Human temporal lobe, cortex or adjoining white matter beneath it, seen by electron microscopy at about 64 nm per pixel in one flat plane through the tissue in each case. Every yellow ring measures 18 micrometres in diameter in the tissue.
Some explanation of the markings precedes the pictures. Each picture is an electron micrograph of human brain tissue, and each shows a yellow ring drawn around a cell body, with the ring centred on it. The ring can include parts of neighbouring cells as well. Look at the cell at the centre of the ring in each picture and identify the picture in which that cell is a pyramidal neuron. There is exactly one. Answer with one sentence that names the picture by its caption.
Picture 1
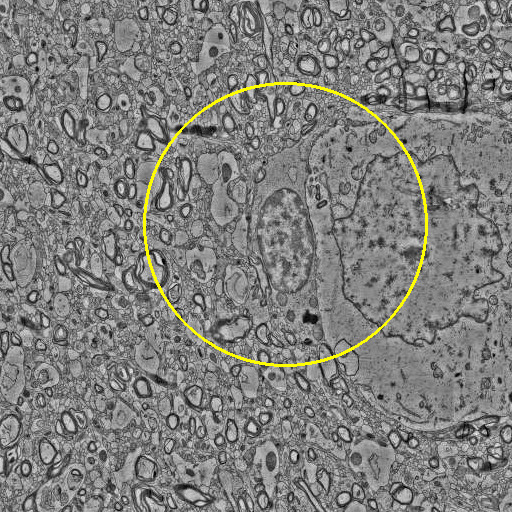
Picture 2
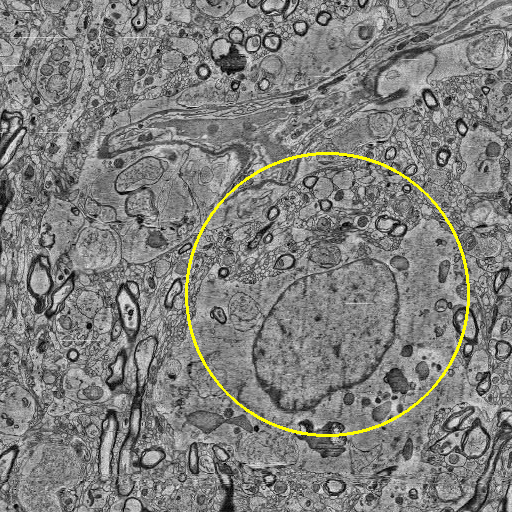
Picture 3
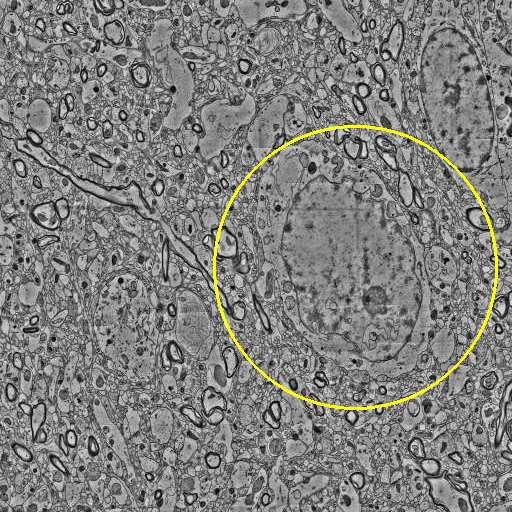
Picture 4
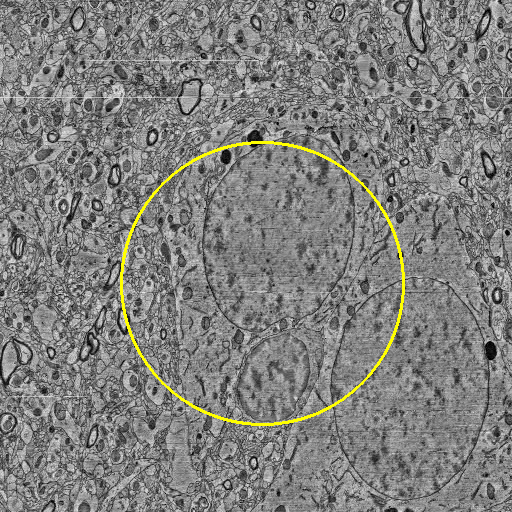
In Picture 4, the cell at the centre of the ring is of that kind.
